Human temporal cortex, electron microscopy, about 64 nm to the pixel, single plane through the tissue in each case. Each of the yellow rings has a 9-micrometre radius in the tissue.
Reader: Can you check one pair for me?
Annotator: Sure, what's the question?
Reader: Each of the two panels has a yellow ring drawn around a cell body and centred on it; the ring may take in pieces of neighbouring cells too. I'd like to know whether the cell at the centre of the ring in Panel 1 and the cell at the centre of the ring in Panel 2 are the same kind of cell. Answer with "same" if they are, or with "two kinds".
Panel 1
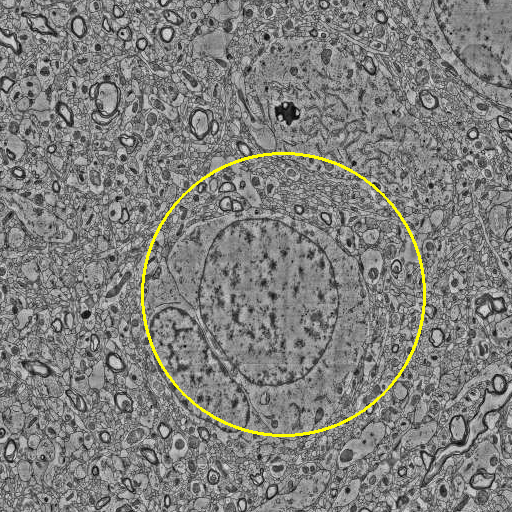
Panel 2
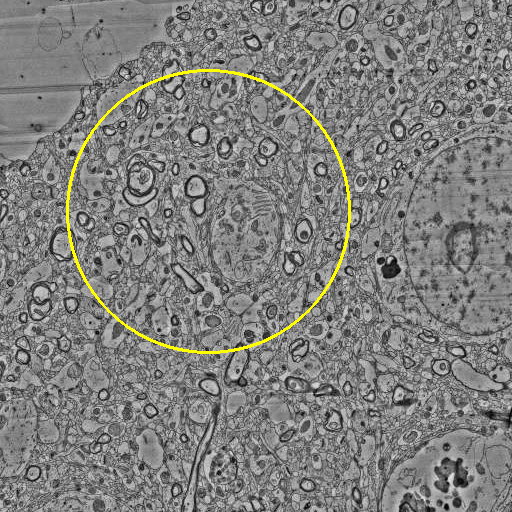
two kinds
